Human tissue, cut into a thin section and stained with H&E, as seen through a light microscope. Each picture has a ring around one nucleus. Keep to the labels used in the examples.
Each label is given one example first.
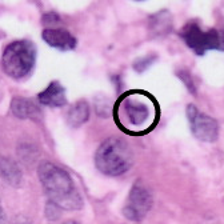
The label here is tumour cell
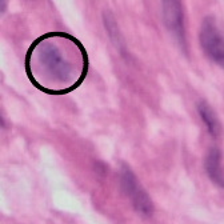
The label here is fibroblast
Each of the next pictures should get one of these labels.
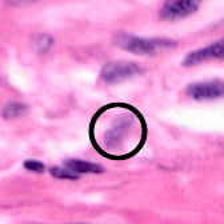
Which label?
fibroblast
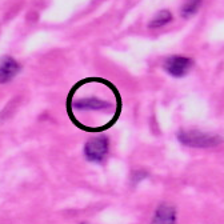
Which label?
fibroblast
